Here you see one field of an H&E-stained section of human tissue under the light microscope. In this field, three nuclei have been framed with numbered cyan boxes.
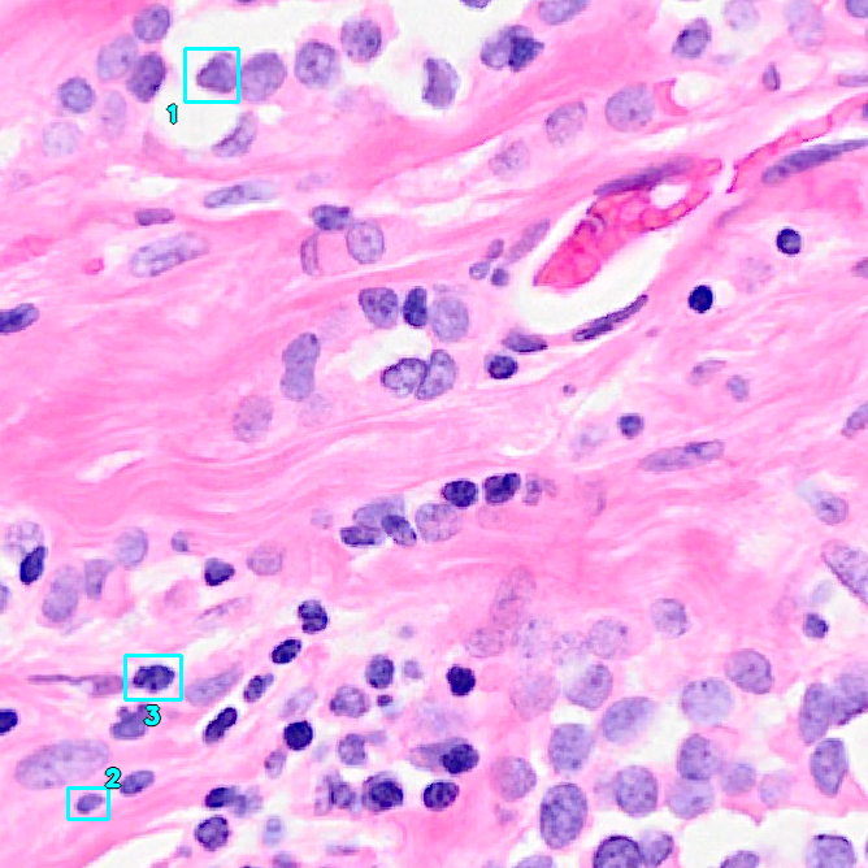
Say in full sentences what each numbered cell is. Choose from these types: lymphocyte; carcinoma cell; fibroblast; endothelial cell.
Cell 1 is a carcinoma cell, cell 2 is a lymphocyte and cell 3 is a lymphocyte.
